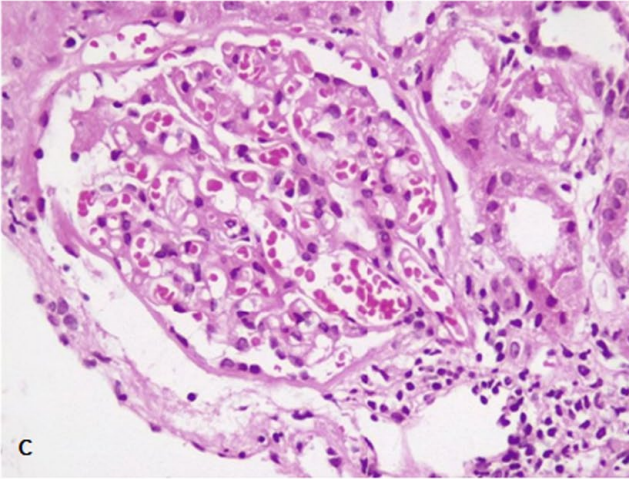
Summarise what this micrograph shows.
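A kidney glomerulus fills most of the field, its lobulated tuft of capillary loops sitting inside a thin capsule with a clear space around it. Many of the loops are open and packed with small red blood cells. Between the loops the tuft is crowded with purple nuclei in pink matrix. At the lower right the interstitium holds a cluster of small dark round nuclei.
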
